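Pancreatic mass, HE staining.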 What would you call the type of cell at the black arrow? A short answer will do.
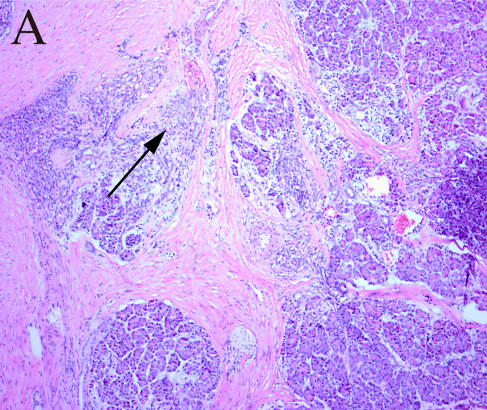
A: spindle-shaped endothelial cells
